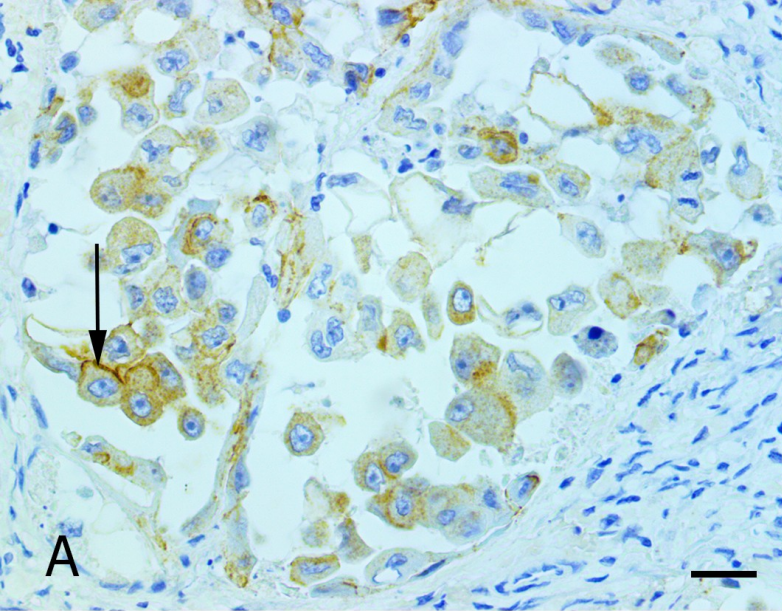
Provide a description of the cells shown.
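Invasive micropapillary carcinoma cells lie as small clusters and single cells within clear spaces separated by thin bands of fibrous stroma. The tumour cells are large and rounded or polygonal, with big oval to irregular blue nuclei and abundant pale cytoplasm. Brown staining is patchy and uneven, strong at the borders and cytoplasm of some cells and faint or absent in many others. Elongated spindle-shaped stromal cells with dark slender nuclei lie in the surrounding connective tissue at the lower right.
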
